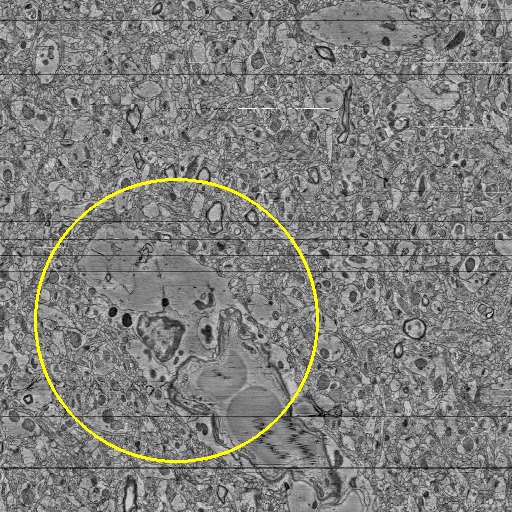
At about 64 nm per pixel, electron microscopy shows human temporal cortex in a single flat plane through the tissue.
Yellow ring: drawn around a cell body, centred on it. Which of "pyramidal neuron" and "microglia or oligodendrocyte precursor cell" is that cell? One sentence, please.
That cell body is from a microglial cell or oligodendrocyte precursor cell.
